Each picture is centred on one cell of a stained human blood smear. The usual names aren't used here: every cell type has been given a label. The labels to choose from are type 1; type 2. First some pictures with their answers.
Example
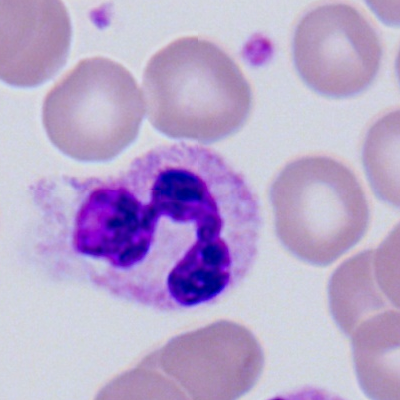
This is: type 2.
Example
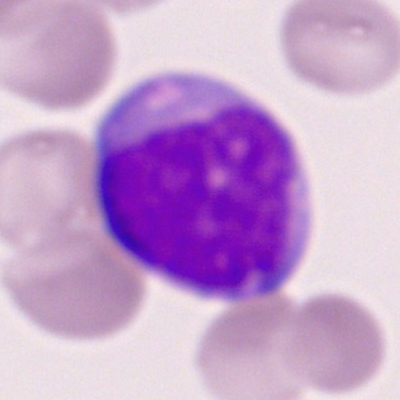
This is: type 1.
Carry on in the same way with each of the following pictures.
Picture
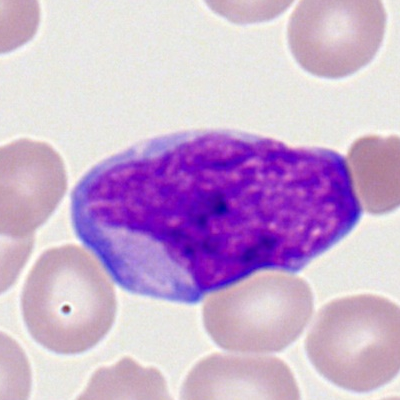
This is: type 1.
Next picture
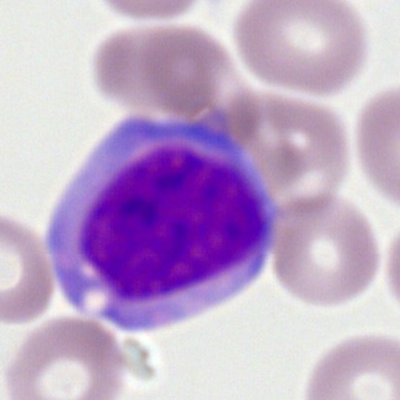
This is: type 1.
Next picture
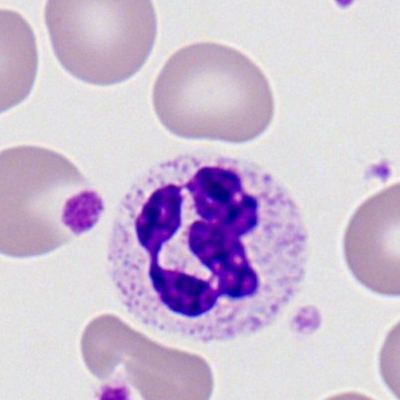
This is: type 2.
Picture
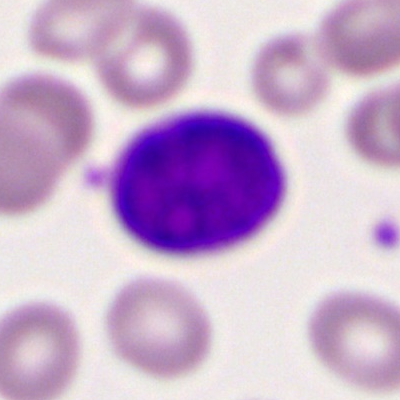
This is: type 1.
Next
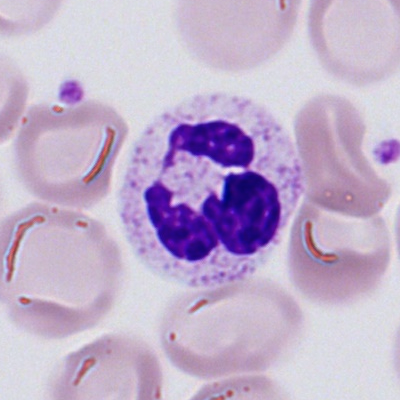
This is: type 2.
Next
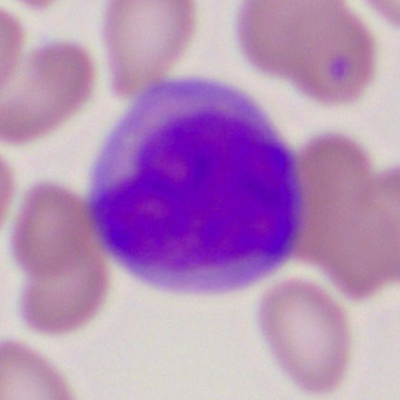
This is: type 1.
